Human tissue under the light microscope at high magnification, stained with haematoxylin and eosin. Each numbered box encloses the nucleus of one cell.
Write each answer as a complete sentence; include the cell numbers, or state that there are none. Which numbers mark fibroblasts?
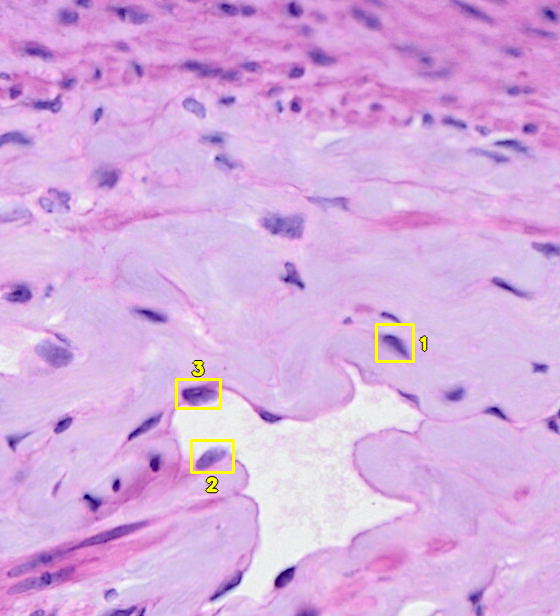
Only the cell with the number 1 is a fibroblast.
